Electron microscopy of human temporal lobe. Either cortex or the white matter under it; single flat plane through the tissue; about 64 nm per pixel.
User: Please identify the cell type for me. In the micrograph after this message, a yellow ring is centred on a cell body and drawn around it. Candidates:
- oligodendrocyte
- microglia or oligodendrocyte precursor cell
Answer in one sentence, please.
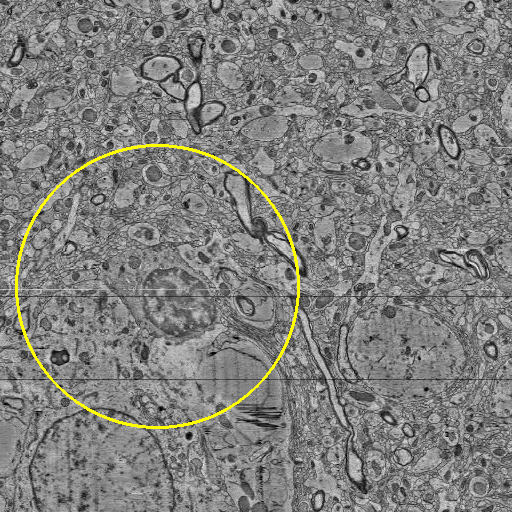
The ring is drawn around the cell body of an oligodendrocyte.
